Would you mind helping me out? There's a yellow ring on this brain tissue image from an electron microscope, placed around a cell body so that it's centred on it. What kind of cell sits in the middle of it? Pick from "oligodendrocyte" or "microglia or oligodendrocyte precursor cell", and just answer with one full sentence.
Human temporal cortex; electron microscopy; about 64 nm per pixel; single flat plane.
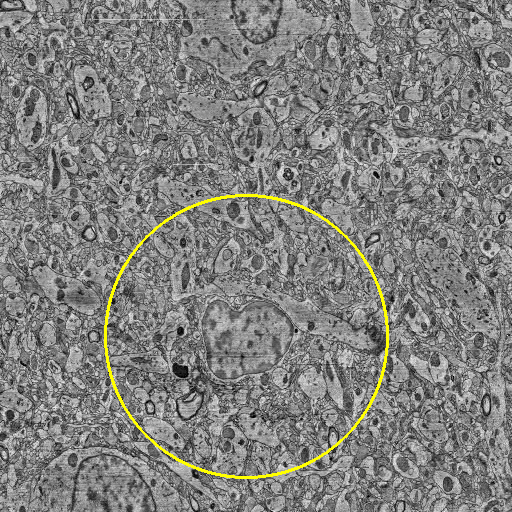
What sits in the middle of that yellow ring is a microglial cell or oligodendrocyte precursor cell, from your choices.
